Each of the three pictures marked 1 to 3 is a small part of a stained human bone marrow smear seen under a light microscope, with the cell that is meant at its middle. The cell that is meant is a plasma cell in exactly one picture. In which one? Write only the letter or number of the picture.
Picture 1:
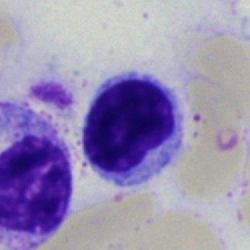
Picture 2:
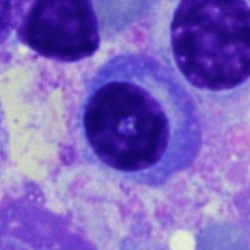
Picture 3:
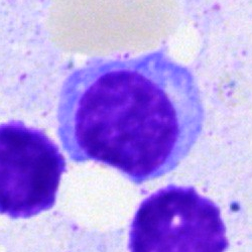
2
